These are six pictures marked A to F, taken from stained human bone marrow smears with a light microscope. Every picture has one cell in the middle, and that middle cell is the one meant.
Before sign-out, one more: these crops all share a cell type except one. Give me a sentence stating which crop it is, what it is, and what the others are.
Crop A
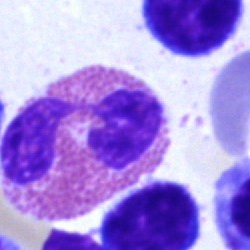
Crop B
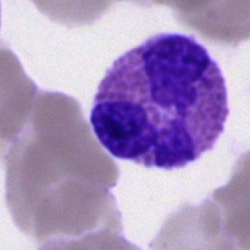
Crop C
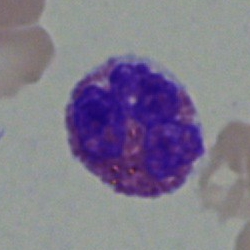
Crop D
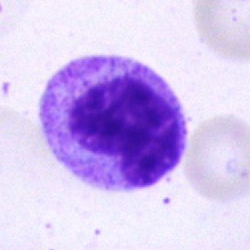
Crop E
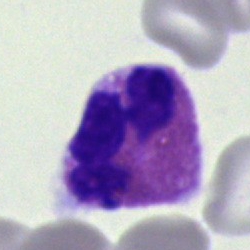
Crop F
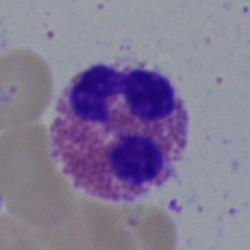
The exception is crop D, with a metamyelocyte; the remaining crops all show eosinophils.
